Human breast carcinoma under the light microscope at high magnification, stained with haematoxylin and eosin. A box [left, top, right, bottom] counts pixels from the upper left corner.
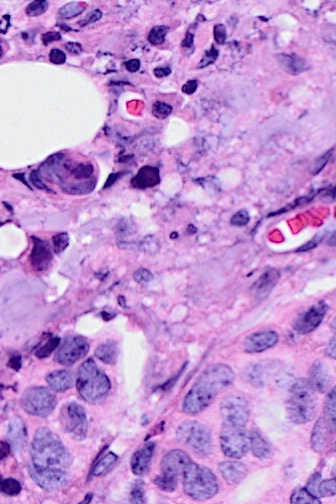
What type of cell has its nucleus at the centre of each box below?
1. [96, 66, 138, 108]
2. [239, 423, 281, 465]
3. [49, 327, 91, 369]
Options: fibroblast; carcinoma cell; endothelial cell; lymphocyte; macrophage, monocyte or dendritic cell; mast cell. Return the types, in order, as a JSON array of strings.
["endothelial cell", "carcinoma cell", "carcinoma cell"]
